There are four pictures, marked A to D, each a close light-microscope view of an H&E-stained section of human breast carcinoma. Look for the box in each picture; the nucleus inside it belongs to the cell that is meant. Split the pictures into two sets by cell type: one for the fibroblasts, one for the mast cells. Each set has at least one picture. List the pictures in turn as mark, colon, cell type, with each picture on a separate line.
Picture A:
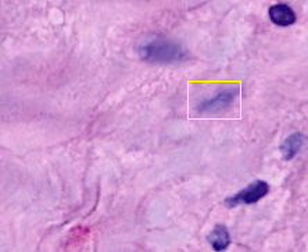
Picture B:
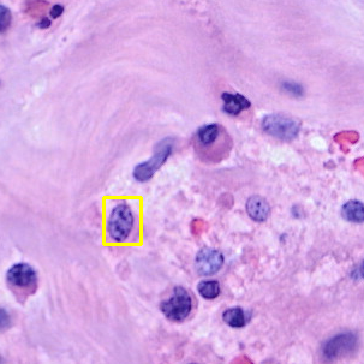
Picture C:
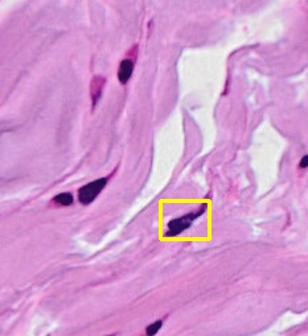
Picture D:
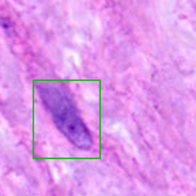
A: fibroblast
B: mast cell
C: fibroblast
D: fibroblast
